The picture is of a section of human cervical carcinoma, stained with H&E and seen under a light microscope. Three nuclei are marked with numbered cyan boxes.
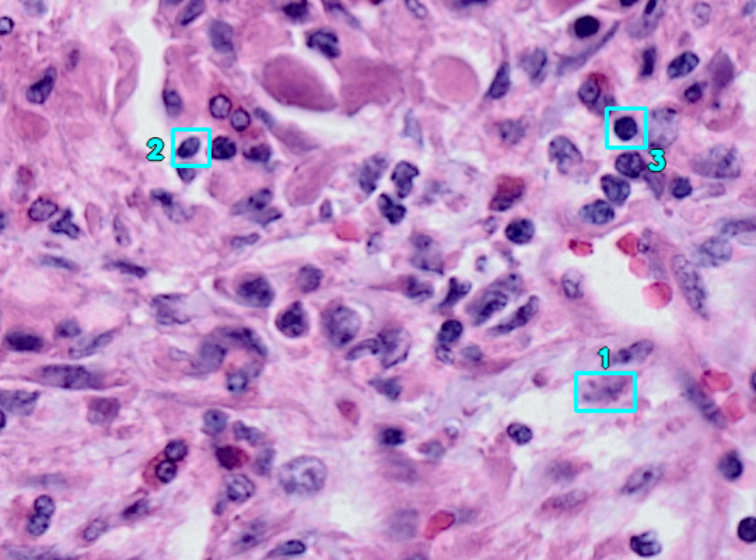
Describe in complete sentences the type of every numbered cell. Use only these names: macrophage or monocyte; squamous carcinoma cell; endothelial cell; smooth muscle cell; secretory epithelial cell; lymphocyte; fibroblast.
Cell 1 is a fibroblast, cell 2 is a lymphocyte and cell 3 is a lymphocyte.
